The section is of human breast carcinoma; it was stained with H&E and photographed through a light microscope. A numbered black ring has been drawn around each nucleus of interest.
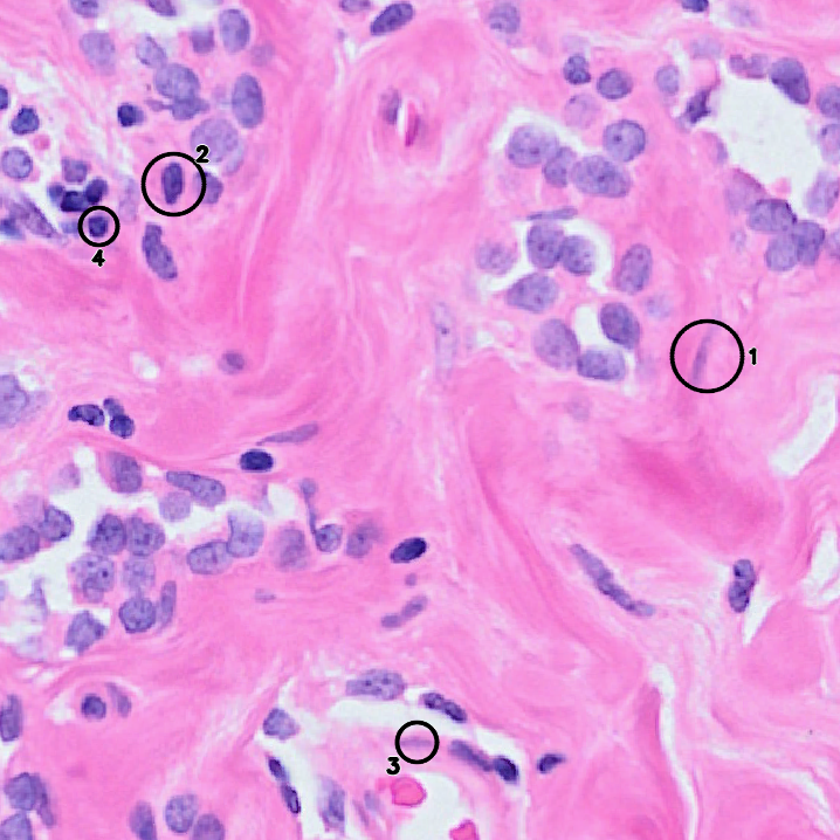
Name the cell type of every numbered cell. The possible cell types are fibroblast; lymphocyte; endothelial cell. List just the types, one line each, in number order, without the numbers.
fibroblast
lymphocyte
endothelial cell
lymphocyte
